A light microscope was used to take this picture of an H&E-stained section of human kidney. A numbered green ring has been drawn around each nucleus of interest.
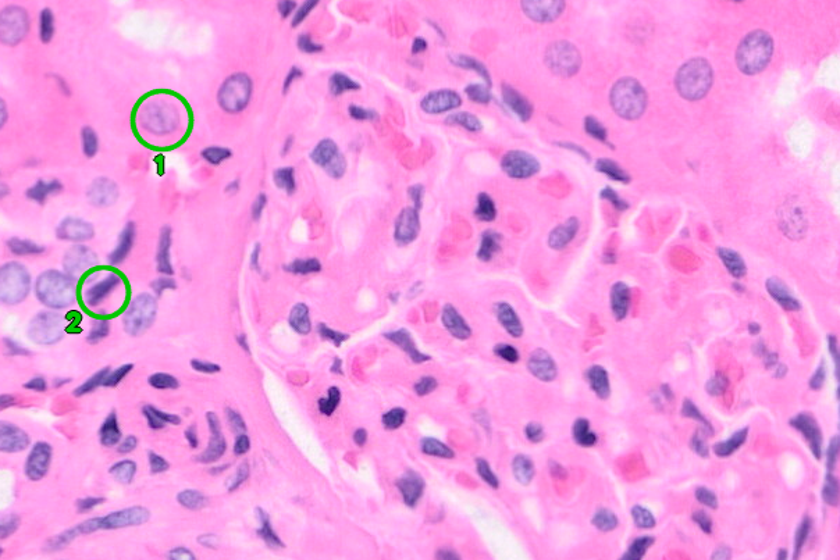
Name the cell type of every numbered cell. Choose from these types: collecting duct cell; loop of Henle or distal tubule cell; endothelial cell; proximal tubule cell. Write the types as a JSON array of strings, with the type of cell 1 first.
["proximal tubule cell", "collecting duct cell"]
